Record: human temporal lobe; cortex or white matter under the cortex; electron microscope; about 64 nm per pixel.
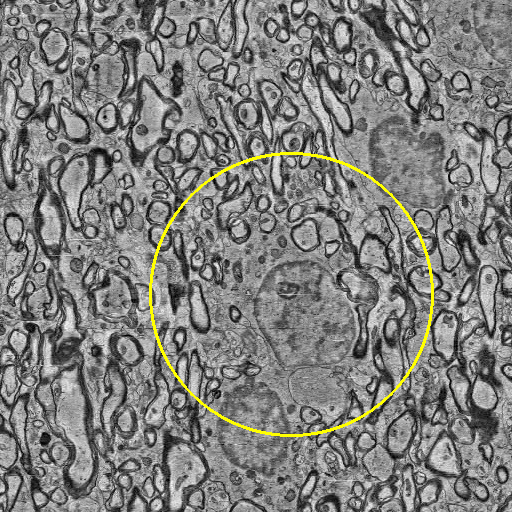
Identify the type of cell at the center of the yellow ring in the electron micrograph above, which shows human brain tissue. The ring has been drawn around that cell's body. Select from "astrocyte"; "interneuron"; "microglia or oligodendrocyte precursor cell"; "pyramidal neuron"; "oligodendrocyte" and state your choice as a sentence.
The yellow ring is centered on the body of an oligodendrocyte.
